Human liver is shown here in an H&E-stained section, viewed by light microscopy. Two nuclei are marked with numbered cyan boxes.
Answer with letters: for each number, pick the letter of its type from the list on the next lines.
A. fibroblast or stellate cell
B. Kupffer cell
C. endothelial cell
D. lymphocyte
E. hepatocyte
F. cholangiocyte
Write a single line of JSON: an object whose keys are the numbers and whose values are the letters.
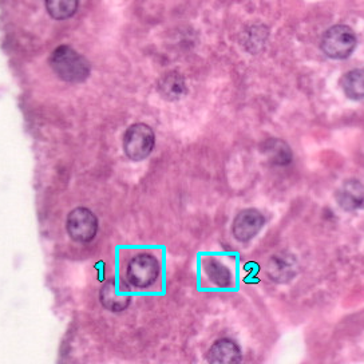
{"1": "E", "2": "B"}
